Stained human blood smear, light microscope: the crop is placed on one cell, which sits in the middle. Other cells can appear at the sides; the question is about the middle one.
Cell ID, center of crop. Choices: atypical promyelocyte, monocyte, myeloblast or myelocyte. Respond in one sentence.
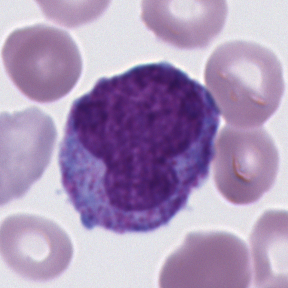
Located at the centre of the crop is an atypical promyelocyte.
